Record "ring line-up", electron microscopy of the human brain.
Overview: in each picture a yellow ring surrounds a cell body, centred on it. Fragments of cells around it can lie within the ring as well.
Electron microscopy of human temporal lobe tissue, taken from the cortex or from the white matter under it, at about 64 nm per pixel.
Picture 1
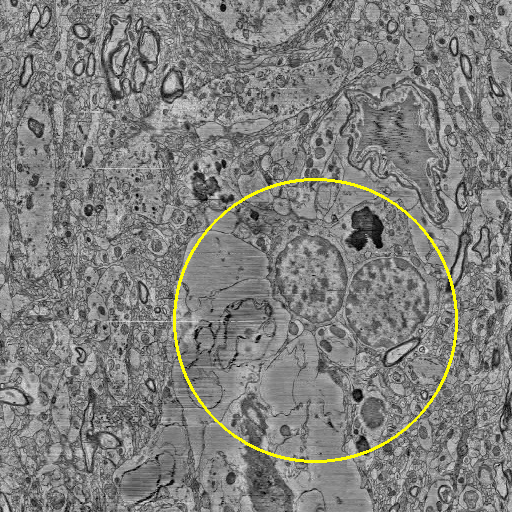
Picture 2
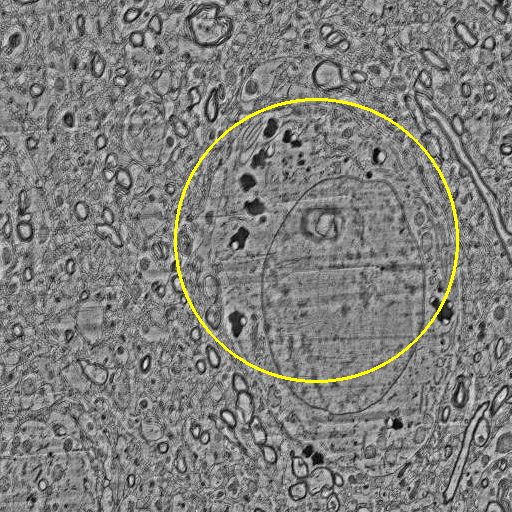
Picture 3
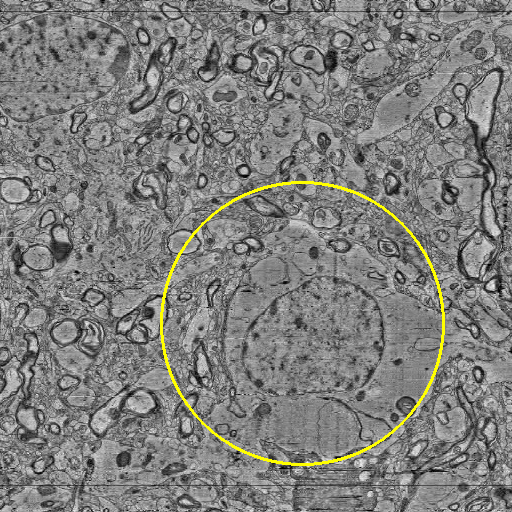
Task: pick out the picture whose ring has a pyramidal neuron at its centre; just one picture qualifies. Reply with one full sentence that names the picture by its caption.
Going by the cell at the ring's centre, the right choice is Picture 2.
